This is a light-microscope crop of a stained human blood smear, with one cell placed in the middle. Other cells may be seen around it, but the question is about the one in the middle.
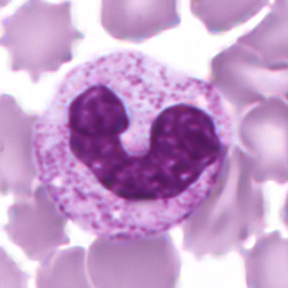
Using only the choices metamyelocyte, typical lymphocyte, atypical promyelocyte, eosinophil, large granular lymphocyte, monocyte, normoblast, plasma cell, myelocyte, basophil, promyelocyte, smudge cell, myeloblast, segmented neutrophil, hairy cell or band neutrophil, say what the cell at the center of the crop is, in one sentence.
The cell of interest, located centrally, is a band neutrophil.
